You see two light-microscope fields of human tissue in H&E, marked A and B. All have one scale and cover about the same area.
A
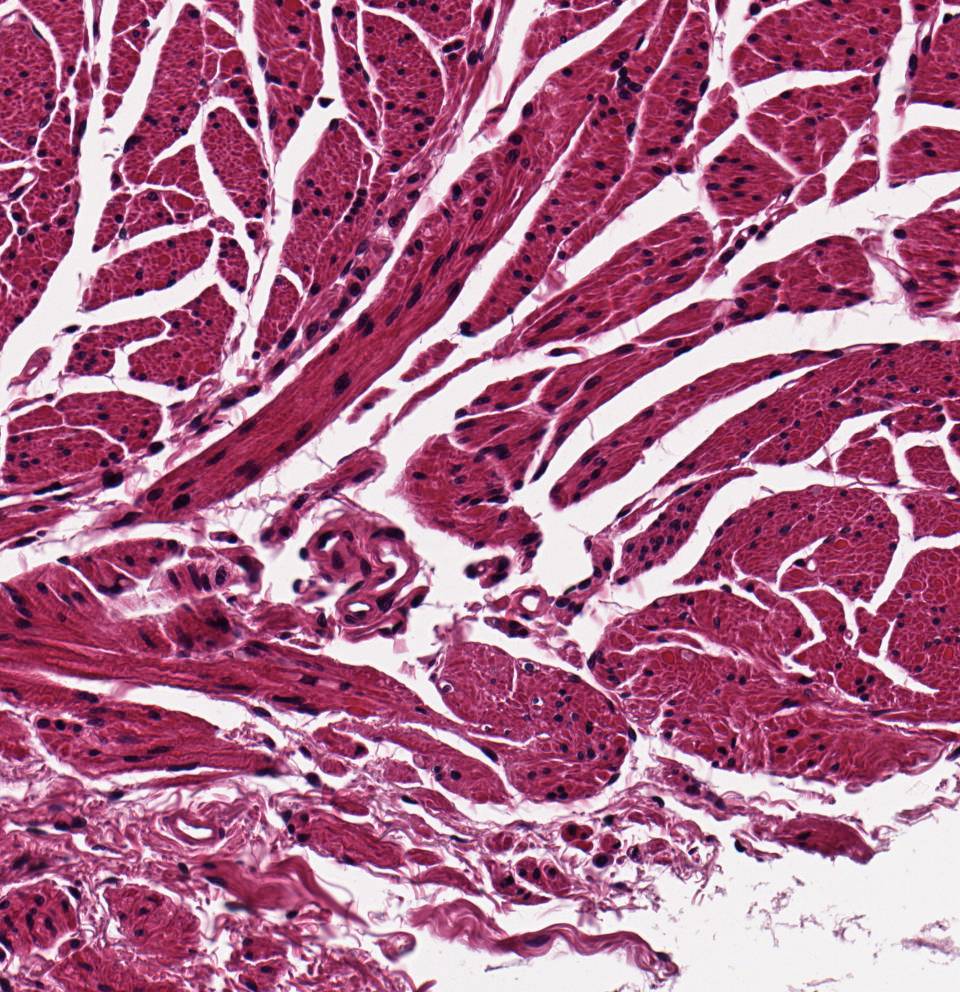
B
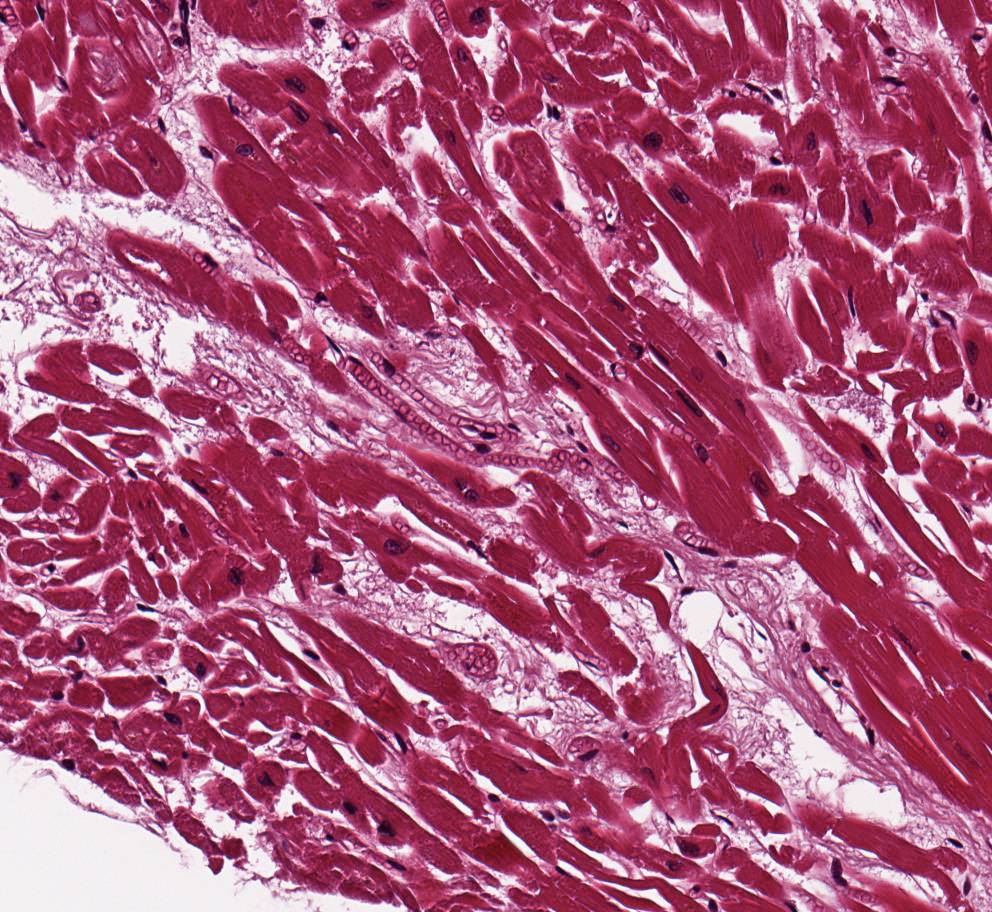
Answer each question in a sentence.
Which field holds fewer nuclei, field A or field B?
There are fewer nuclei in field B.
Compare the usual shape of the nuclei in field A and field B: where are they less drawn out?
On the whole the nuclei of field A are rounder than those of field B.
